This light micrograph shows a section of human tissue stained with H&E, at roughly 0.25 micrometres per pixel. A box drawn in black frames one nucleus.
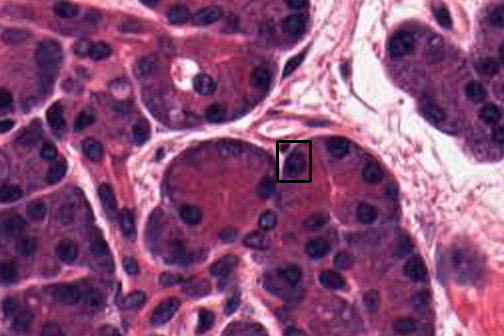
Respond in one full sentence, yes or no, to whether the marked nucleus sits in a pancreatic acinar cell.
Yes, the nucleus marked in the image belongs to a pancreatic acinar cell.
